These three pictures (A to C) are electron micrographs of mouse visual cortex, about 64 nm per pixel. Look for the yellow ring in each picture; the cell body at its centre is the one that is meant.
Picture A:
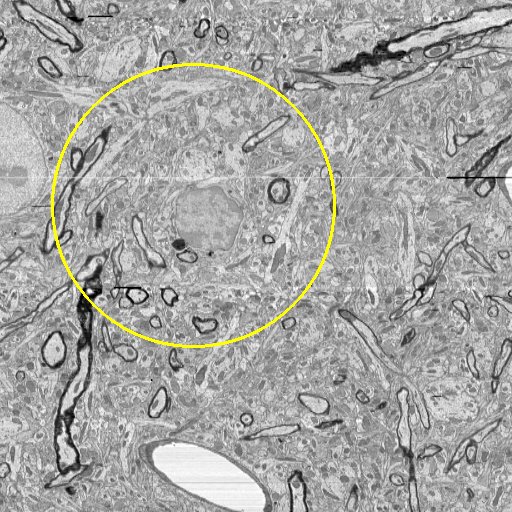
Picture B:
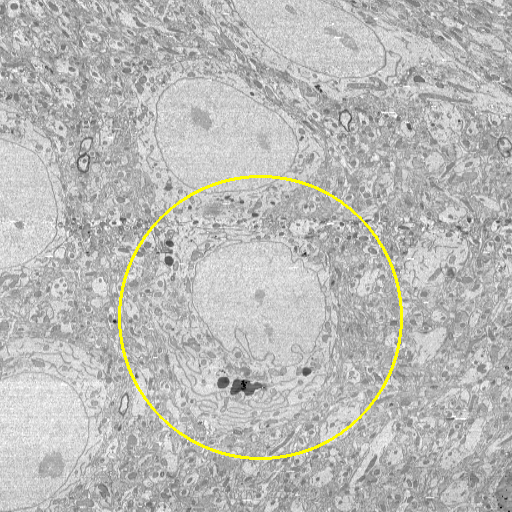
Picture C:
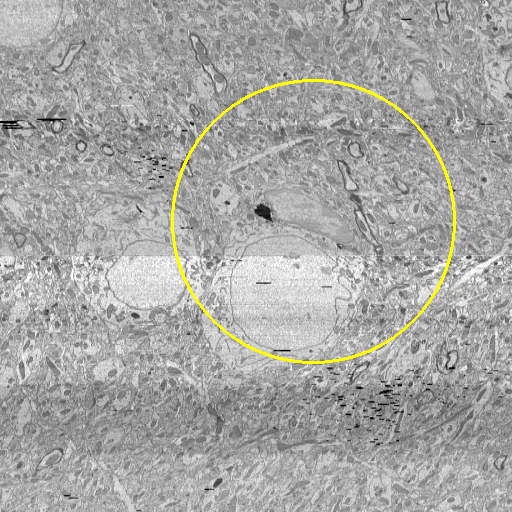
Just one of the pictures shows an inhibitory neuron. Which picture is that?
The cell in picture B is the inhibitory neuron.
